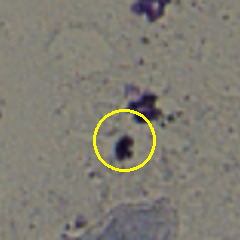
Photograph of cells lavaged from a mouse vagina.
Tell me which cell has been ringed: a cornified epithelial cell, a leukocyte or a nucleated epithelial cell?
It is a leukocyte.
